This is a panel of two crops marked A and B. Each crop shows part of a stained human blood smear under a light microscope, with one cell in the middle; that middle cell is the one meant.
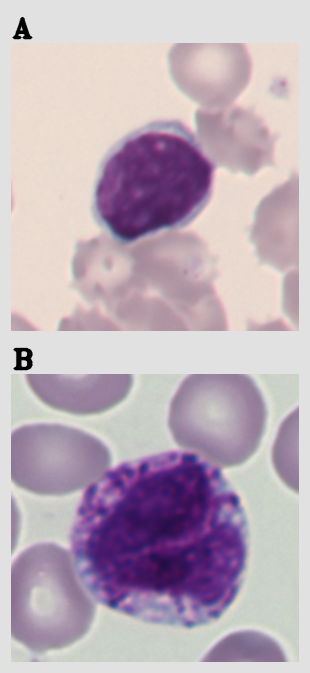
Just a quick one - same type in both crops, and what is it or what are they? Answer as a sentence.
No, crop A has a lymphocyte at its center, and crop B has a basophil.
